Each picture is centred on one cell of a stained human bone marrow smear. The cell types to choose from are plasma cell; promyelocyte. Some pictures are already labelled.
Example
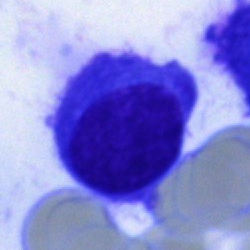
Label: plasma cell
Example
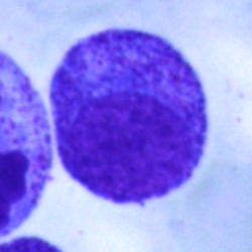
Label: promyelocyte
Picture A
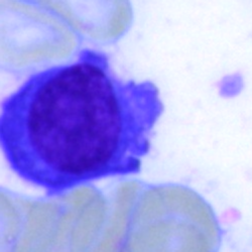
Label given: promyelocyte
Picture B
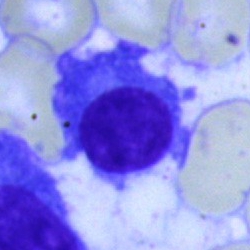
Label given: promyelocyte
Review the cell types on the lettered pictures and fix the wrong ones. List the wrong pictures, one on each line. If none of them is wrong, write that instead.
A: change promyelocyte to plasma cell
B: change promyelocyte to plasma cell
